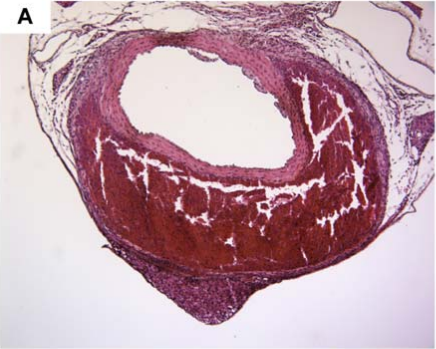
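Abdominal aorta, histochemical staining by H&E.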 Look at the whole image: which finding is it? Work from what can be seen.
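A large dense red mass fills one side of the vessel wall around the lumen. The red mass is split by white cracks and lies outside the pink wall layer. The answer: hematoma.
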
